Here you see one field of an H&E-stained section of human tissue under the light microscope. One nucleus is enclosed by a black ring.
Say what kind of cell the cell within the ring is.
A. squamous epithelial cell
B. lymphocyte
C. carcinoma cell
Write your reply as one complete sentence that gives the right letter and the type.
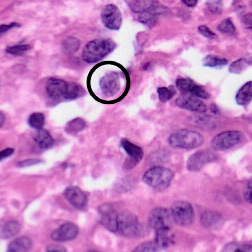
The accurate option is C, with the cell within the ring being a carcinoma cell.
